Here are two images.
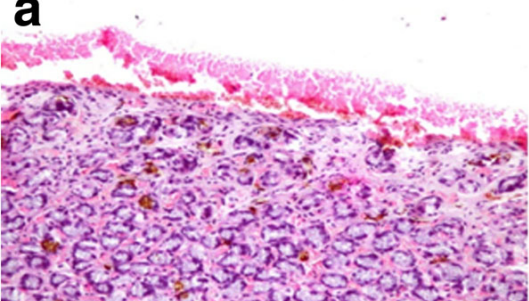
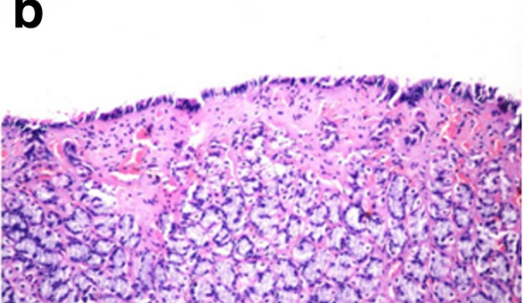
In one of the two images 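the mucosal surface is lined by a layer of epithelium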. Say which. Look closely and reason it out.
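Second image: a continuous dark row of columnar cells covers the surface. First image: the surface is covered by red blood with no epithelial layer. The answer: the second image.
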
